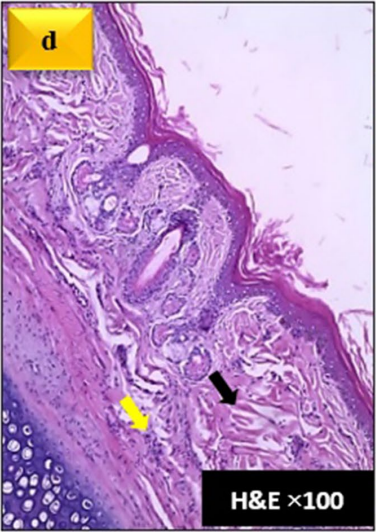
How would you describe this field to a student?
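Ear skin shows a pink keratinized surface over a somewhat thickened epidermis, a dermis of pale pink wavy fibres with clusters of small dark nuclei, and a plate of purple cartilage at the lower left. The scattered small cells in the deep dermis near the cartilage form a mild inflammatory infiltrate, and the pale wavy fibrous material in the dermis is collagen deposit.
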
